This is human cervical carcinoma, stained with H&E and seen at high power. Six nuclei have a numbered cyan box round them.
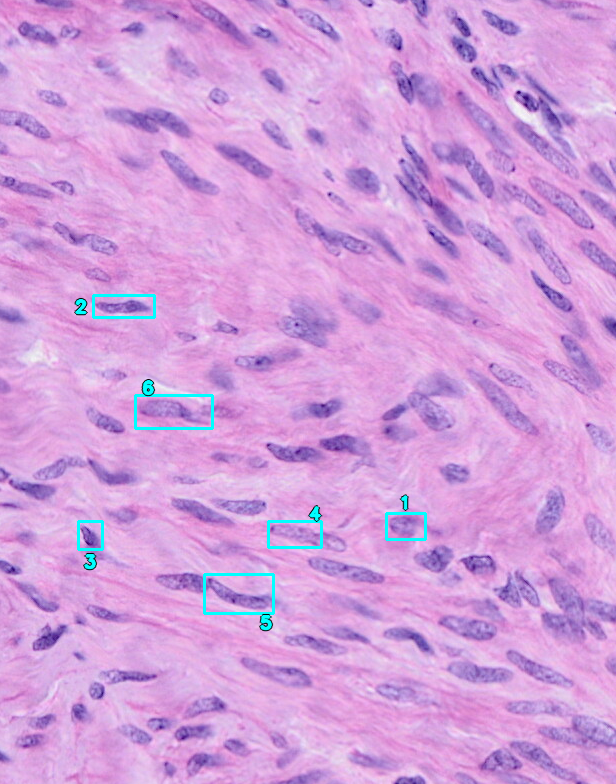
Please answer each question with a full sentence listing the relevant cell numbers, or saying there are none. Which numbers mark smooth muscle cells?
Classified as smooth muscle cells are the cells numbered 1, 4 and 6.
